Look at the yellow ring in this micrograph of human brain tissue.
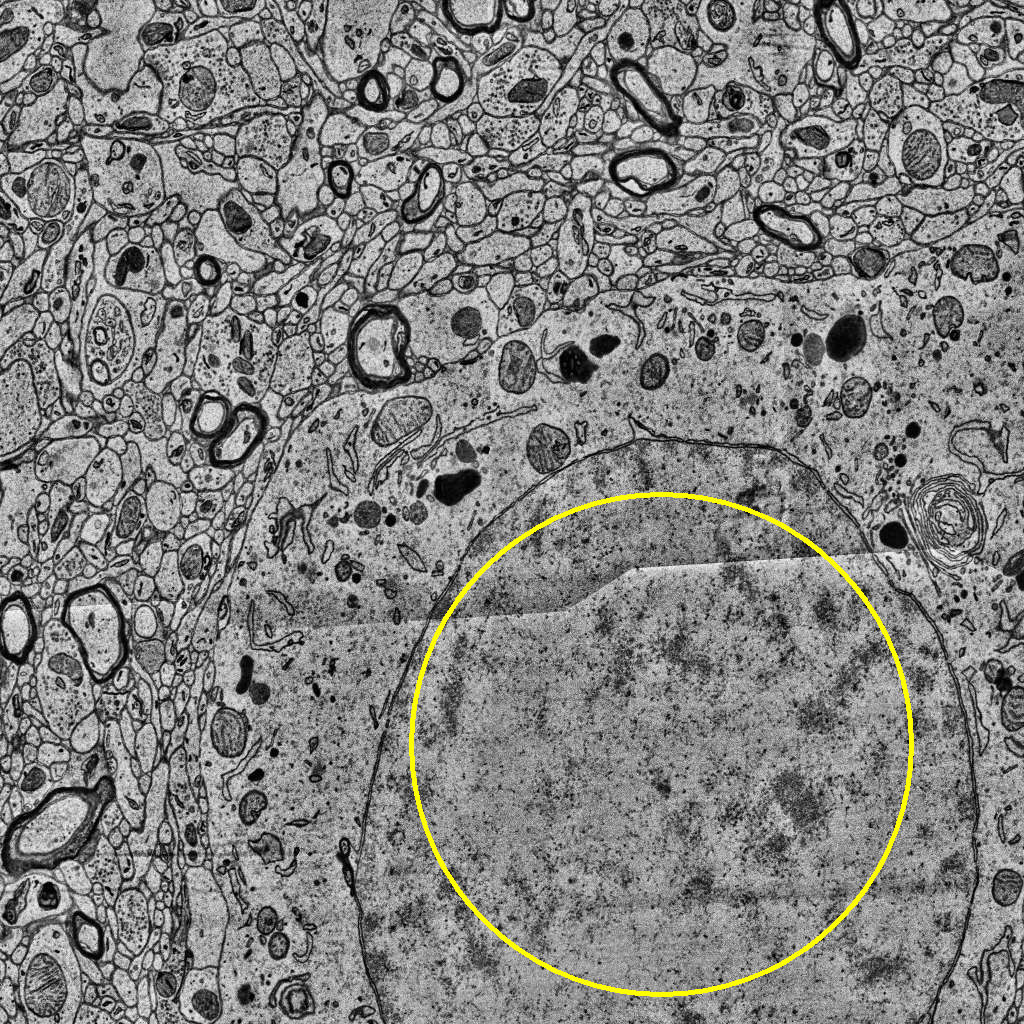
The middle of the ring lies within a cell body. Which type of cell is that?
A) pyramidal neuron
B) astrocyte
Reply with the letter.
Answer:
A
